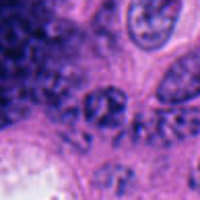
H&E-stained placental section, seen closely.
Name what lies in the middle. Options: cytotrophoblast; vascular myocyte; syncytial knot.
syncytial knot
